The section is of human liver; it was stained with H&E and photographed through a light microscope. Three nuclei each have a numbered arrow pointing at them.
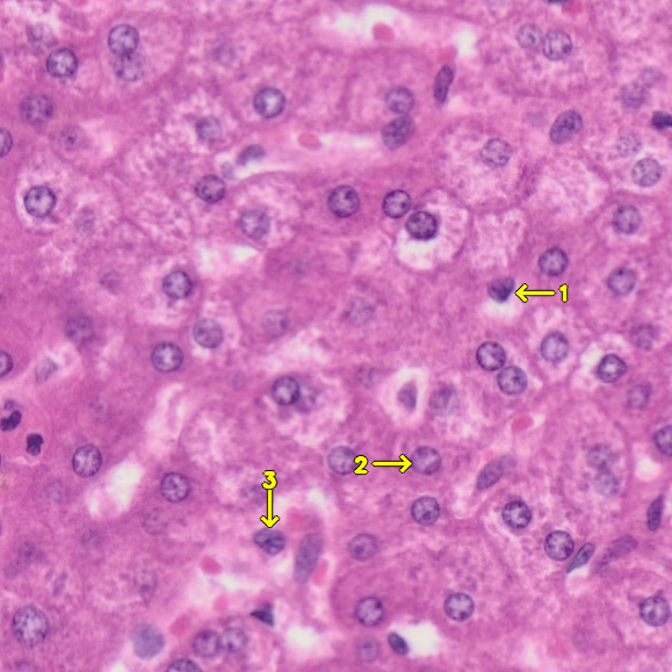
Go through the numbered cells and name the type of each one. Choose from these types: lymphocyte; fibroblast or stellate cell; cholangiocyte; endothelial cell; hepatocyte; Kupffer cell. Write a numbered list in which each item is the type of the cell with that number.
1. endothelial cell
2. hepatocyte
3. fibroblast or stellate cell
